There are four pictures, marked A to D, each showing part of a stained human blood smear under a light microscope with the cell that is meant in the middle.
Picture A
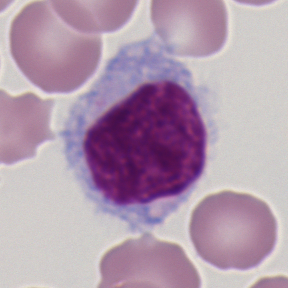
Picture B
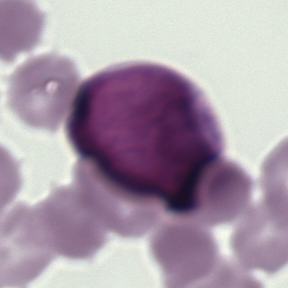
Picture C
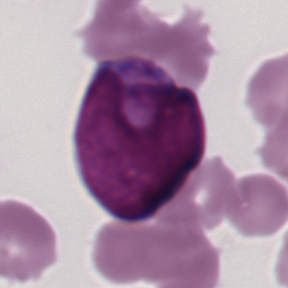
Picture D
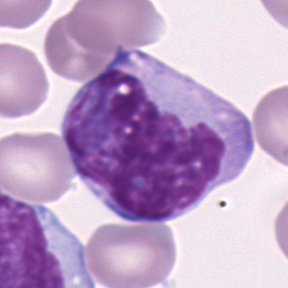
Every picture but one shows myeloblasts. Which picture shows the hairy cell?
A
